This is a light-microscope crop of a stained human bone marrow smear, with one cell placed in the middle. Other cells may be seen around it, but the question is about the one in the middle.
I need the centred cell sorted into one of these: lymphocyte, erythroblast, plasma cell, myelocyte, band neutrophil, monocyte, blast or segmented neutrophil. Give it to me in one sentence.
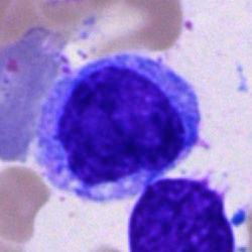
The central element of this crop is a cell, namely a monocyte.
